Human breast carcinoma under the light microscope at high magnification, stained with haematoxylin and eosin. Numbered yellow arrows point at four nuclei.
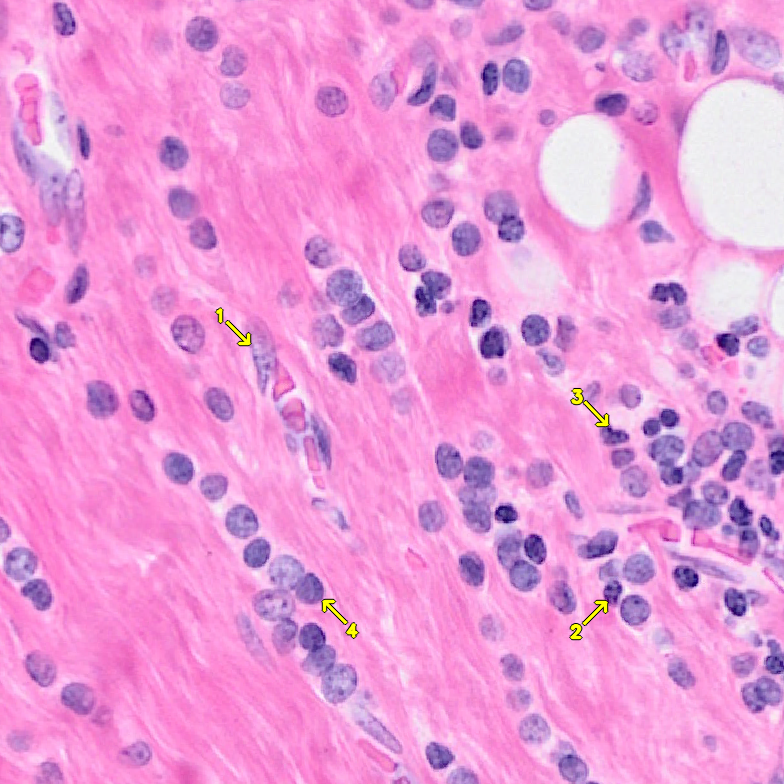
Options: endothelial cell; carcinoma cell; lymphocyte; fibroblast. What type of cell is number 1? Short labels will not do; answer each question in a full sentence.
The identity of cell 1 is that of an endothelial cell.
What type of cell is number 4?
Cell number 4 in this section is a carcinoma cell.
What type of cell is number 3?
The nucleus with number 3 is that of a lymphocyte.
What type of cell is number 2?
Cell 2 is classified as a lymphocyte.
